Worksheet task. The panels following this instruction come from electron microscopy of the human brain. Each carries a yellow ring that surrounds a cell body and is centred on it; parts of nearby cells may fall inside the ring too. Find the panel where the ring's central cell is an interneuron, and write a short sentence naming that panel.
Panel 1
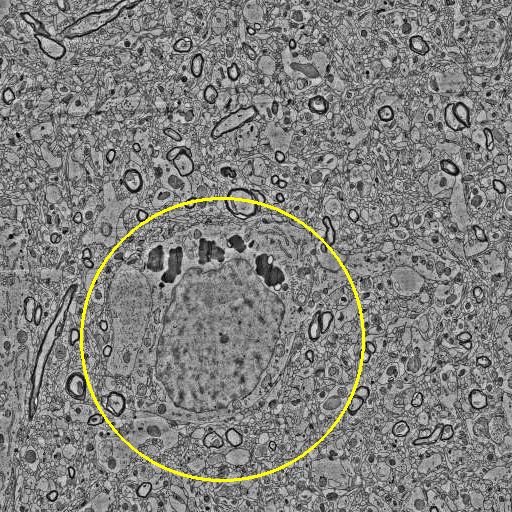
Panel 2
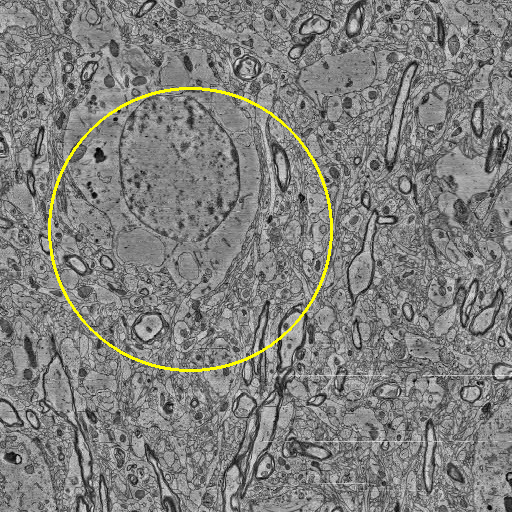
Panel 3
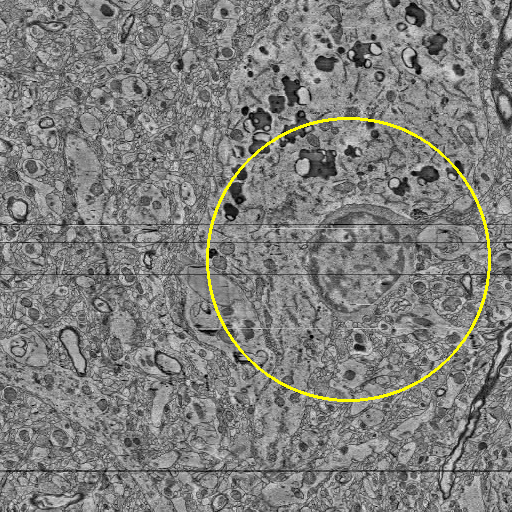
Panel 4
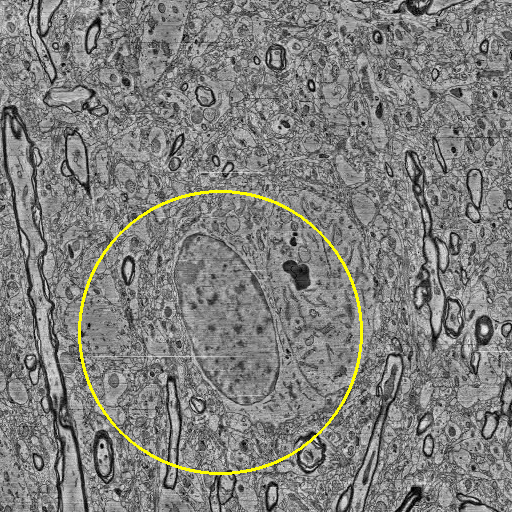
The cell sought is in Panel 1.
